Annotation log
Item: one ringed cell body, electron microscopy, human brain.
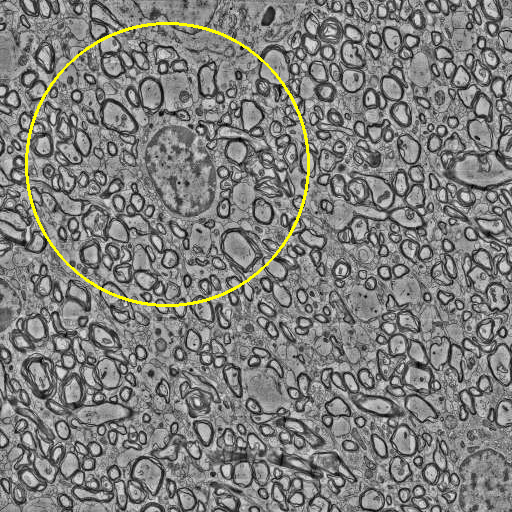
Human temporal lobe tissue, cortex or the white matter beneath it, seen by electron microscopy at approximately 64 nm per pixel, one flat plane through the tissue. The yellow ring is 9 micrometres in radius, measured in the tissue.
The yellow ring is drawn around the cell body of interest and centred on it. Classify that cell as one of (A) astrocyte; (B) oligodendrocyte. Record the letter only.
B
